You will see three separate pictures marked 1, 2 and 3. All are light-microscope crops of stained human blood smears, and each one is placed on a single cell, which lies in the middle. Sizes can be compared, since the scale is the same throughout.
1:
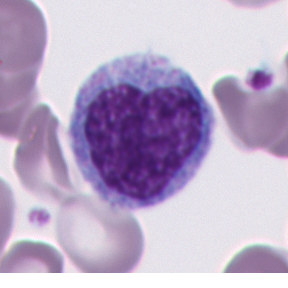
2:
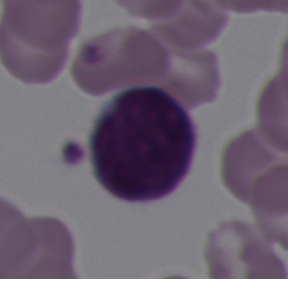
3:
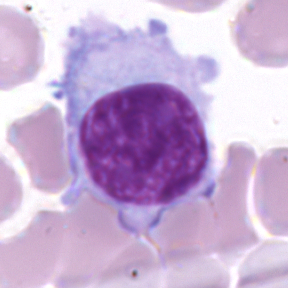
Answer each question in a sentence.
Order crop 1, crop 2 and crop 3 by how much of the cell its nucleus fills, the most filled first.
From the most filled to the least, the order is 2, 1, 3.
